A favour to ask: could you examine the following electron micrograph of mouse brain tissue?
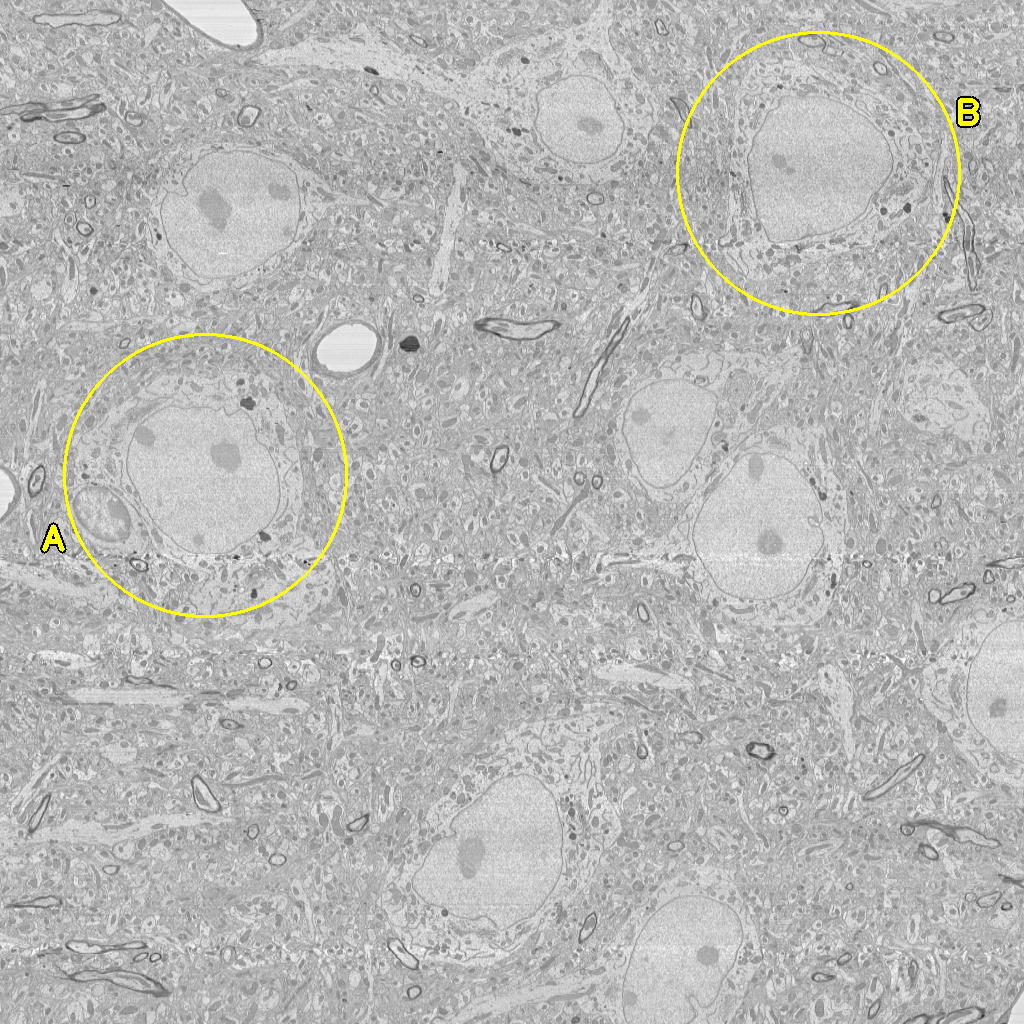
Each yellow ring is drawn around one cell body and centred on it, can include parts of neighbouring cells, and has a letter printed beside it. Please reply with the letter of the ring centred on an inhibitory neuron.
B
